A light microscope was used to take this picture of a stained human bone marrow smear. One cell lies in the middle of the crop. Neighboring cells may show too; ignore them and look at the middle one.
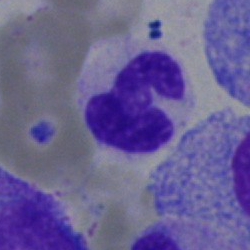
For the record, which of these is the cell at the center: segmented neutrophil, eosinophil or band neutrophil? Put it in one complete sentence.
The cell centered in this field of view is a segmented neutrophil.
